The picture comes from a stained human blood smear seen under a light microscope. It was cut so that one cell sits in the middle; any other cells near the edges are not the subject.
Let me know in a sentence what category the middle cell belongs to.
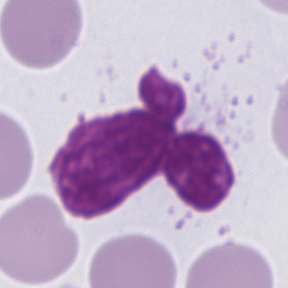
The cell under consideration, at the middle of the crop, is a smudge cell.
